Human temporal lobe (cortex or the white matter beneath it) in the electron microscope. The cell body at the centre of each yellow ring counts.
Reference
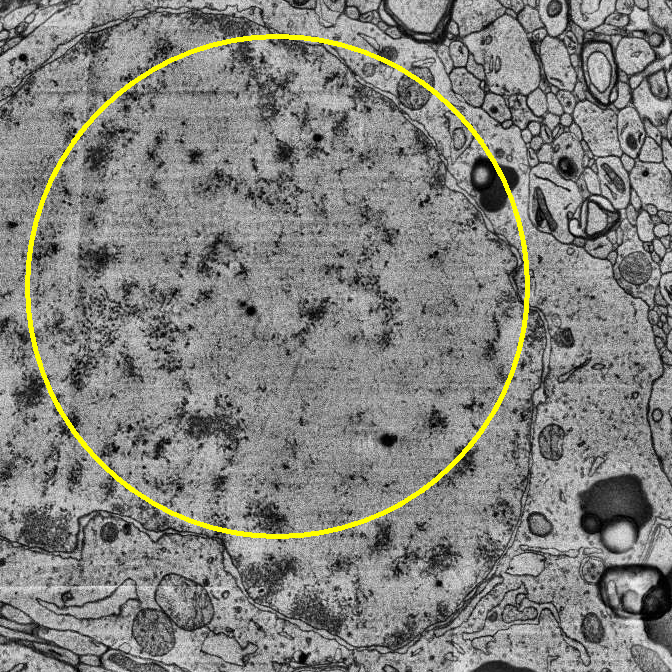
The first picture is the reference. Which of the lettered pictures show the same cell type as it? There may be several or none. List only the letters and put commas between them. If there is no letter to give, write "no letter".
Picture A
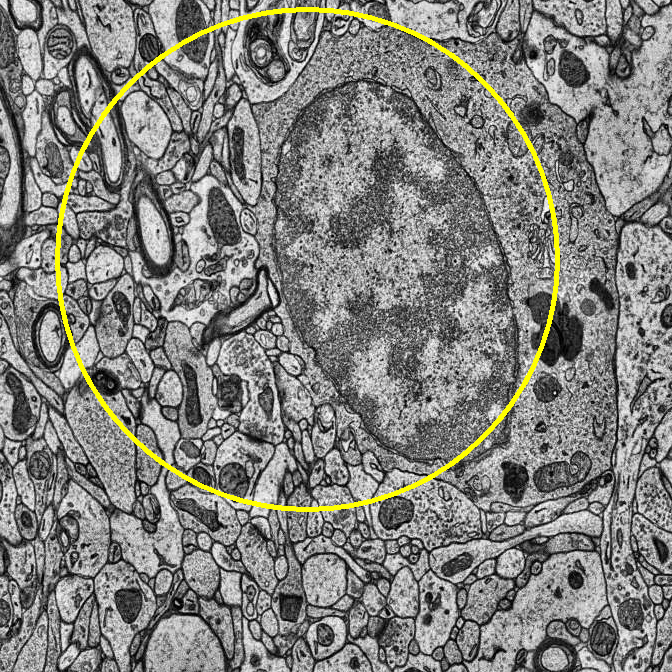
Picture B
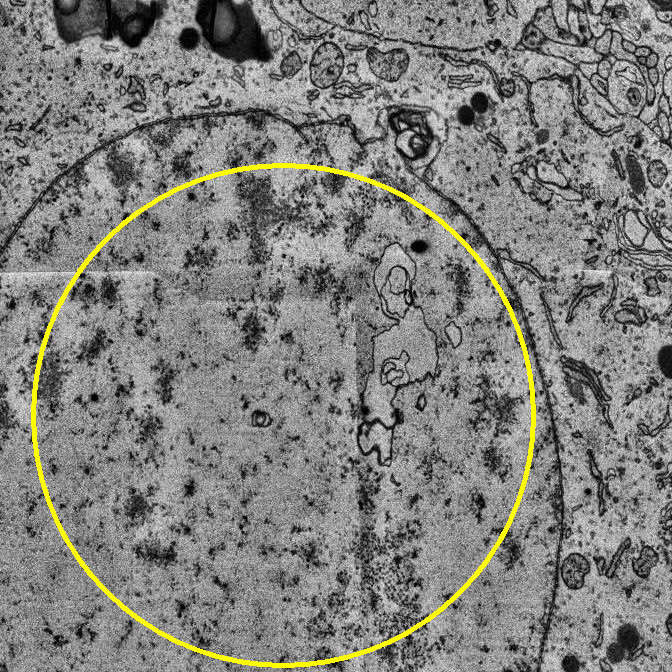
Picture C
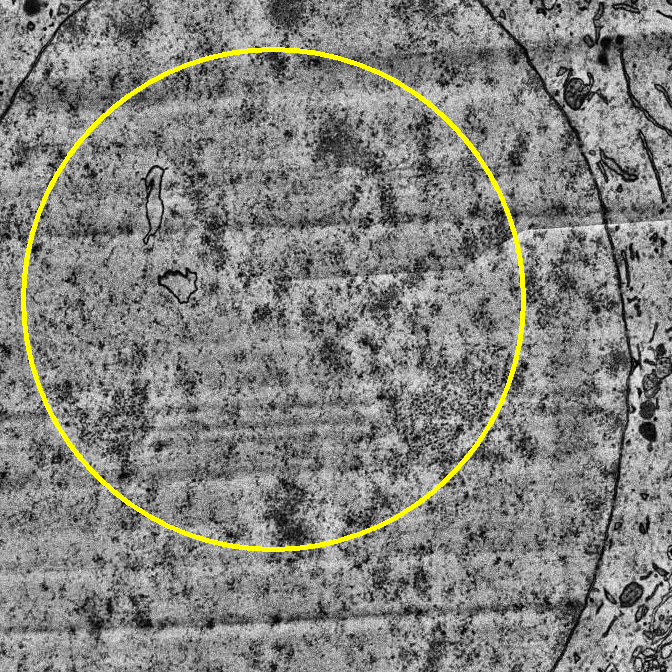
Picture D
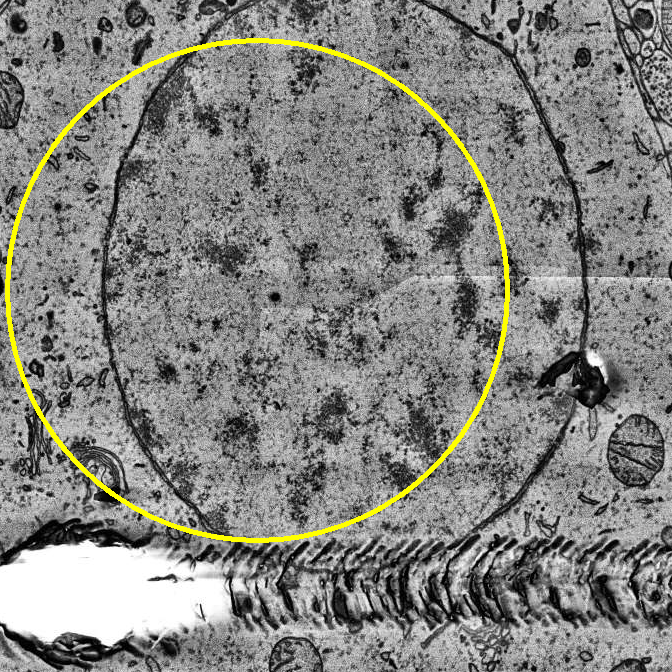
no letter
